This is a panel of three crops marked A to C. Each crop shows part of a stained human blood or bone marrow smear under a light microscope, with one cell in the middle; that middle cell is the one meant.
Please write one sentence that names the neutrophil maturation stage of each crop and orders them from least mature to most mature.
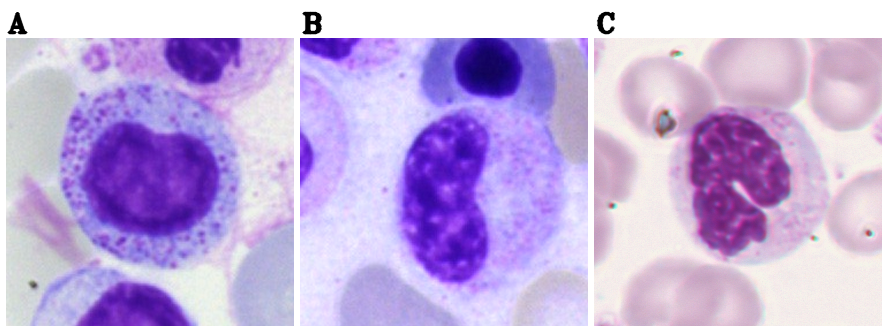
By increasing maturity, the order is crop A (a myelocyte), crop B (a metamyelocyte) and crop C (a band neutrophil).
